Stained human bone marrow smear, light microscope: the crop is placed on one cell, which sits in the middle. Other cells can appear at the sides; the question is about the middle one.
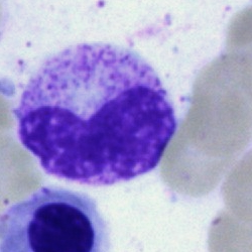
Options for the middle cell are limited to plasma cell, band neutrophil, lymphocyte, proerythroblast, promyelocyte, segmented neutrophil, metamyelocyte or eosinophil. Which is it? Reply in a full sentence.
The cell at the central position in this crop is a band neutrophil.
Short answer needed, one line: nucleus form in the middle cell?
The nucleus holds together as a single compact mass, round, oval or kidney-like.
